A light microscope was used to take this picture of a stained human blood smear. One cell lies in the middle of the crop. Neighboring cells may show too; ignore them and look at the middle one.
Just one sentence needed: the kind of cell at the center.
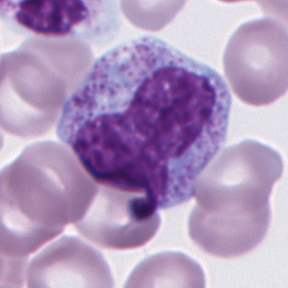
Among the cells in view, the one in the middle is a myelocyte.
